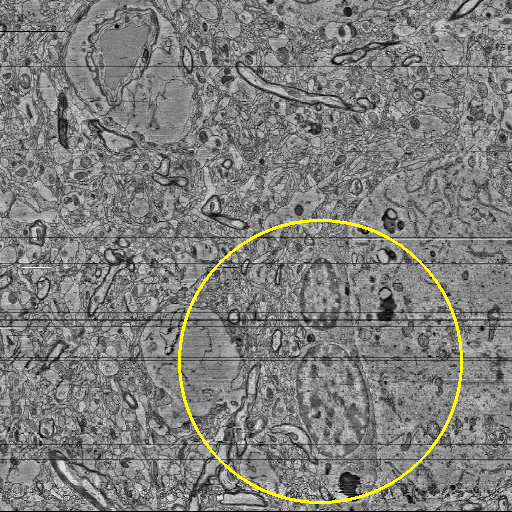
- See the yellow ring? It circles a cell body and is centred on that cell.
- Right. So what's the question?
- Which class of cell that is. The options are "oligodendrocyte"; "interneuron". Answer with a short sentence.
The centre of the ring holds an oligodendrocyte.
